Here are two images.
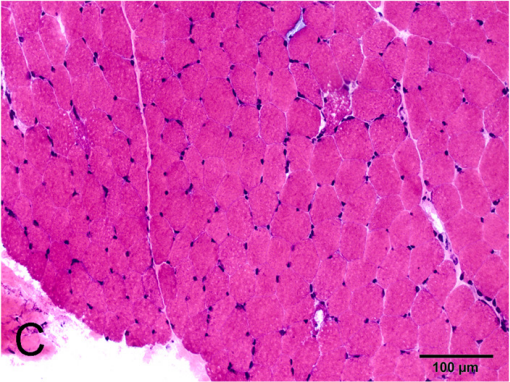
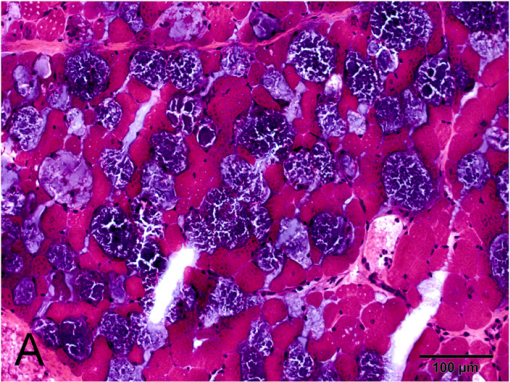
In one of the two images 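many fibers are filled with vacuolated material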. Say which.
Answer: the second image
